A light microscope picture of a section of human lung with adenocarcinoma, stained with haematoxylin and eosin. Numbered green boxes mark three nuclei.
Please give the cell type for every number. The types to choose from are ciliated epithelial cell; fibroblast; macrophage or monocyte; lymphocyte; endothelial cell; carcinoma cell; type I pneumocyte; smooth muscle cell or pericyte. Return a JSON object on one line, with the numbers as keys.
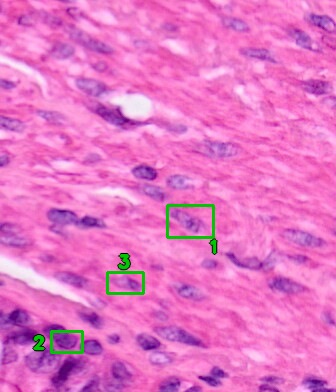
{"1": "smooth muscle cell or pericyte", "2": "ciliated epithelial cell", "3": "smooth muscle cell or pericyte"}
